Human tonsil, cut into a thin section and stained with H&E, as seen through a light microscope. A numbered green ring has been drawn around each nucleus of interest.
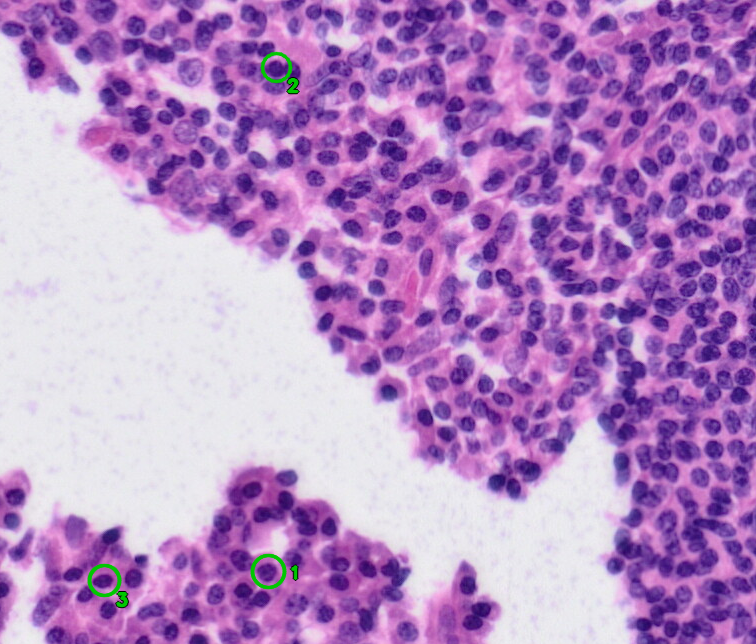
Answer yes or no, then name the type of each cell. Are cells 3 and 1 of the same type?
Yes, both are plasma cells.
